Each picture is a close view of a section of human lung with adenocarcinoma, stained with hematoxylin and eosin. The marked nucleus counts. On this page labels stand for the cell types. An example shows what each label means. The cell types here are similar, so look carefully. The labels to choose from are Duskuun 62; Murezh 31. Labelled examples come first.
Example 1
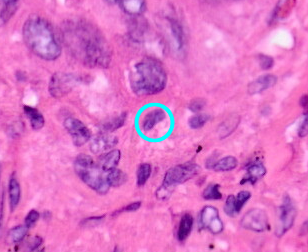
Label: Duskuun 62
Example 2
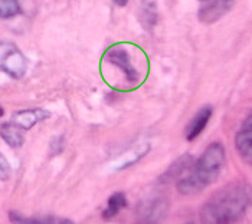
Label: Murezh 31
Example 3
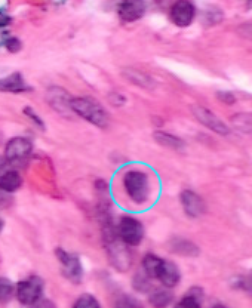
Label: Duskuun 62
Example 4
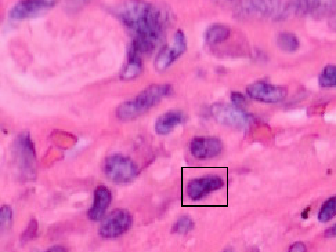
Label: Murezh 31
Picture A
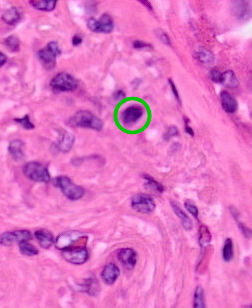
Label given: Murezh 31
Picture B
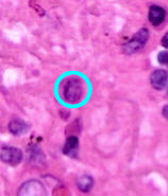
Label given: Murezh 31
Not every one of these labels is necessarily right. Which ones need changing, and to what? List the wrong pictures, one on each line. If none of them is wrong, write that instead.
No label is wrong.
